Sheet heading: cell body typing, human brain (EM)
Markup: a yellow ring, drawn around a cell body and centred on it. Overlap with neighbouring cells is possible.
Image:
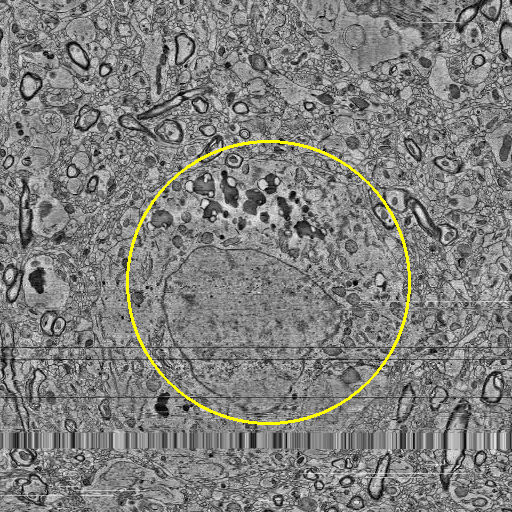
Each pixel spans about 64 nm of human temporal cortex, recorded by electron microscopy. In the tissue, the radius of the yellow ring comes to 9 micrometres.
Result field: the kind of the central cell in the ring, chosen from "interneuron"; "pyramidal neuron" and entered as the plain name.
pyramidal neuron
